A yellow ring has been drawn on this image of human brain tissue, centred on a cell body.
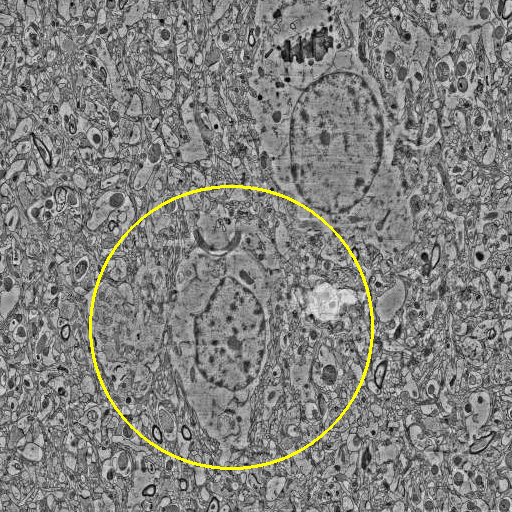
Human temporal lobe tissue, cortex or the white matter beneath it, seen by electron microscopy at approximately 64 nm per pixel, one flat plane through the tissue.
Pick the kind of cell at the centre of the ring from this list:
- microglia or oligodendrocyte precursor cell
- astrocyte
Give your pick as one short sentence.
The centre of the ring holds an astrocyte.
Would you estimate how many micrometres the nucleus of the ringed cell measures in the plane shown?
About 7 by 4 micrometres, the nucleus being clearly longer than it is wide in this plane.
